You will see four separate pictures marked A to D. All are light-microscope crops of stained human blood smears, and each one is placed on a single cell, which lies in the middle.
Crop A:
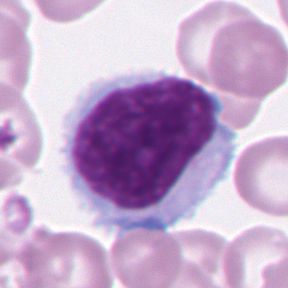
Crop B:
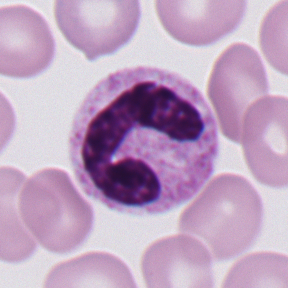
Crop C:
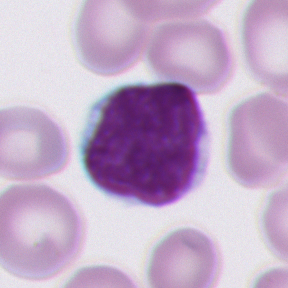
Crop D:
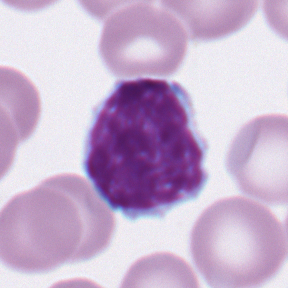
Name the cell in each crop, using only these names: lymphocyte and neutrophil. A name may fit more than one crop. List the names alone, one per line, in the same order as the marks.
lymphocyte
neutrophil
lymphocyte
lymphocyte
